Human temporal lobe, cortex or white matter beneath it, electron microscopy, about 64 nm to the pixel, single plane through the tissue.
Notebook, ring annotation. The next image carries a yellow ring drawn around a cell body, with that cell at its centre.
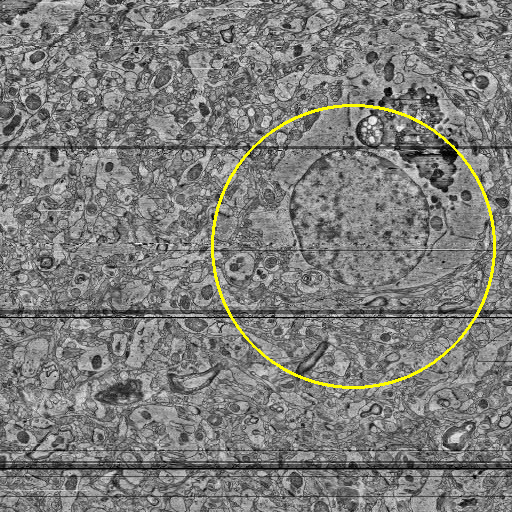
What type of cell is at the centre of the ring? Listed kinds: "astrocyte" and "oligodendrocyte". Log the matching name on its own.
astrocyte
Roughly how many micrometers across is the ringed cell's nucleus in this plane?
Roughly 9 micrometers across, in this plane.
